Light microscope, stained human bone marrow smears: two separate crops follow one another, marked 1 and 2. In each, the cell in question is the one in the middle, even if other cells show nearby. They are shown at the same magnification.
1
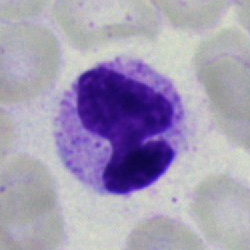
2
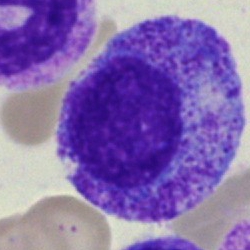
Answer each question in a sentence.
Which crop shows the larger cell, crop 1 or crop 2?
Crop 2 holds the larger cell; it covers about 2 times the area of the cell in crop 1.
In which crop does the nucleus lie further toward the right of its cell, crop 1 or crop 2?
It is the nucleus in crop 1 that lies further toward the right of its cell.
